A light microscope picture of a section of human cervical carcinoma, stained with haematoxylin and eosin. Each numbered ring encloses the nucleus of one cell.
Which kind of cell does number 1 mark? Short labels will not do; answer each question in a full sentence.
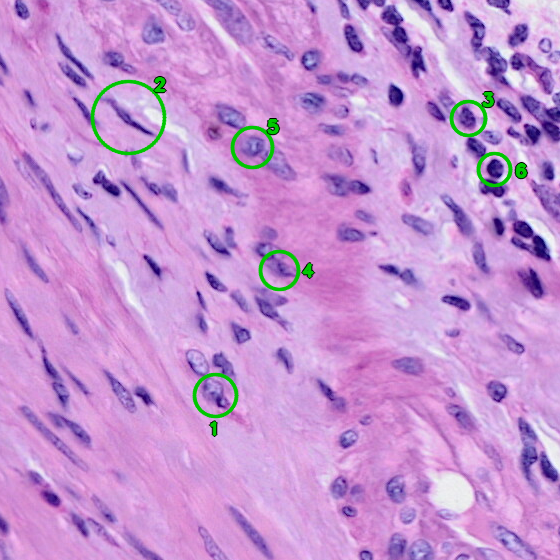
Nucleus 1 in this section belongs to an endothelial cell.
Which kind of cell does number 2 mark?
Nucleus 2 in this section belongs to a fibroblast.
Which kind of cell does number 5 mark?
The cell numbered 5 represents a smooth muscle cell.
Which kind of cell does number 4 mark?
The cell referred to as 4 is a smooth muscle cell.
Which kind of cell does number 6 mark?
Here the cell numbered 6 is a lymphocyte.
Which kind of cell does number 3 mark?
Classified as a lymphocyte is the cell with the number 3.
